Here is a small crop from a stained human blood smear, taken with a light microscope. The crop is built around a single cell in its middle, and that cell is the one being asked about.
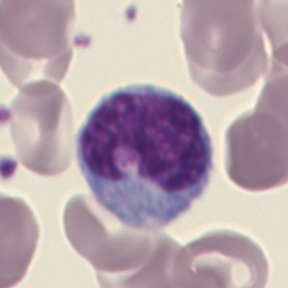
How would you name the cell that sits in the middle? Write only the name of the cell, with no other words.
monocyte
